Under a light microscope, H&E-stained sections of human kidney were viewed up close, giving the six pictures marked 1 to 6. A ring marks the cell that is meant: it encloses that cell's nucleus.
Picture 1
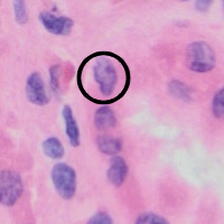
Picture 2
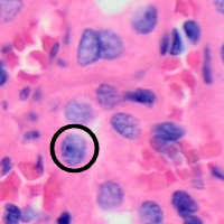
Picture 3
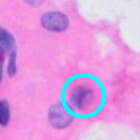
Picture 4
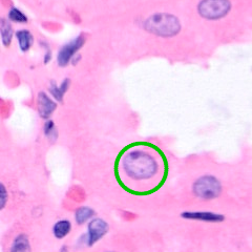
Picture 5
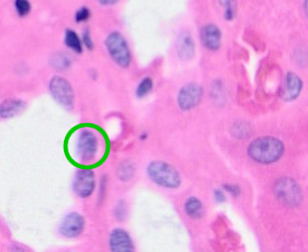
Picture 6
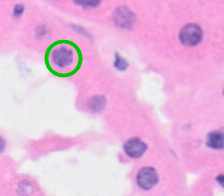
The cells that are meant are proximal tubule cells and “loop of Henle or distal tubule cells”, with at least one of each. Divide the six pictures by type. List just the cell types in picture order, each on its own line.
proximal tubule cell
loop of Henle or distal tubule cell
proximal tubule cell
proximal tubule cell
loop of Henle or distal tubule cell
loop of Henle or distal tubule cell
